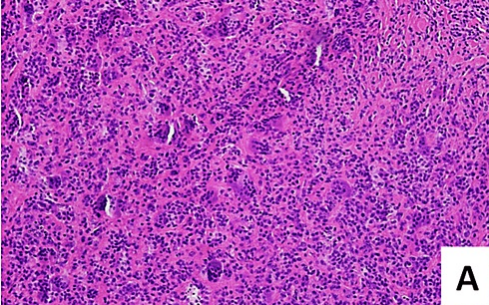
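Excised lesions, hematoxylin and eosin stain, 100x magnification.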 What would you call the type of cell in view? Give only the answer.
Giant cells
